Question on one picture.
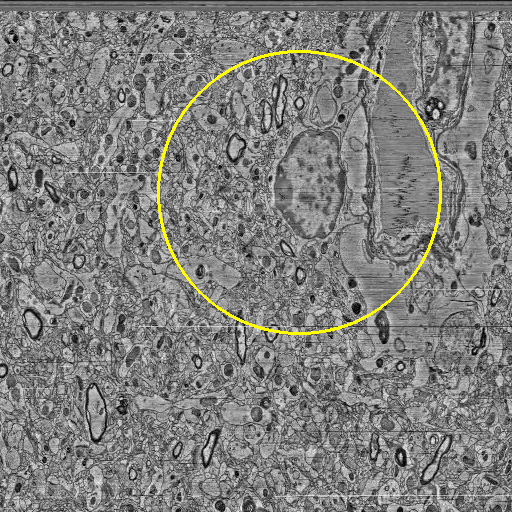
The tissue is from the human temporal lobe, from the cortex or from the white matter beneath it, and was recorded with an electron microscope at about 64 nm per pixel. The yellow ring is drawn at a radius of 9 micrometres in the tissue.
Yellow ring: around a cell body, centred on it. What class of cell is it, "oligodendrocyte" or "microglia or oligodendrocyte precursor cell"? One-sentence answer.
This is a microglial cell or oligodendrocyte precursor cell, the cell the ring is centred on.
